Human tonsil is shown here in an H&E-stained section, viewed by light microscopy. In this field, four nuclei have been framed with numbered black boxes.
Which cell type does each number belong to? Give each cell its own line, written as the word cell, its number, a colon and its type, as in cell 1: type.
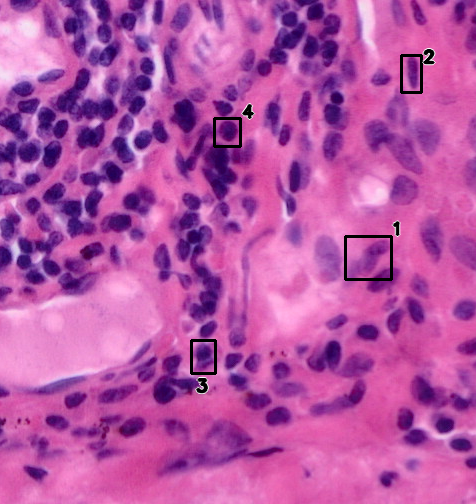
cell 1: endothelial cell
cell 2: mast cell
cell 3: plasma cell
cell 4: plasma cell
